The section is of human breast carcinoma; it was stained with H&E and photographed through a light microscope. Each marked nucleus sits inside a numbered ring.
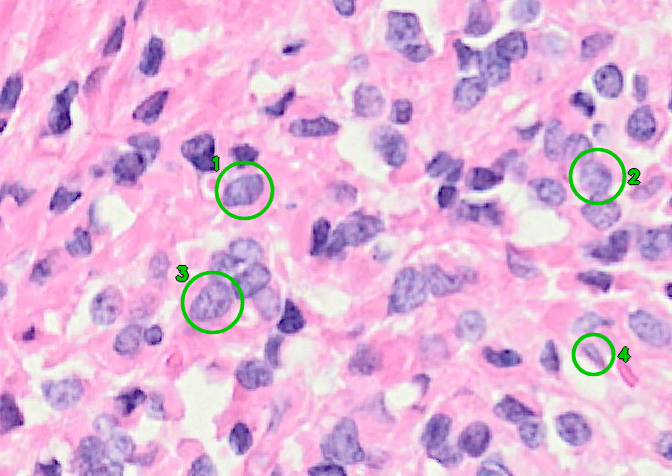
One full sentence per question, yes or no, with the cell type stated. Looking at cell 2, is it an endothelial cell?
No, cell 2 is not an endothelial cell: it is a carcinoma cell.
